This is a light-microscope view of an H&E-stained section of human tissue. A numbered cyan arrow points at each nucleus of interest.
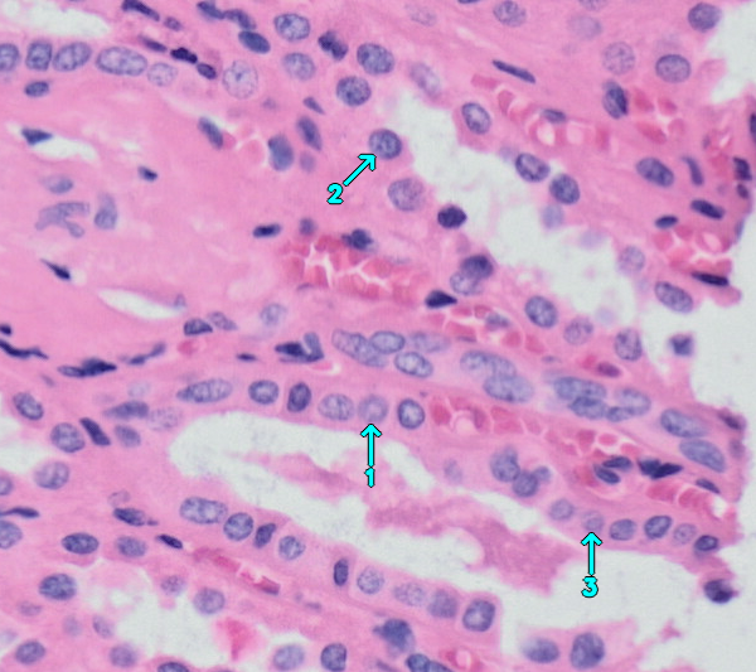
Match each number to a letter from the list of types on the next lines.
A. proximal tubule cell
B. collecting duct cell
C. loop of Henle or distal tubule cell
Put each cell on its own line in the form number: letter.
1: B
2: C
3: B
